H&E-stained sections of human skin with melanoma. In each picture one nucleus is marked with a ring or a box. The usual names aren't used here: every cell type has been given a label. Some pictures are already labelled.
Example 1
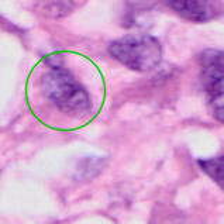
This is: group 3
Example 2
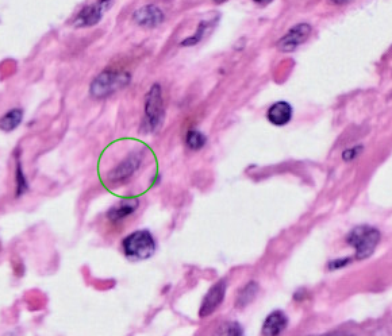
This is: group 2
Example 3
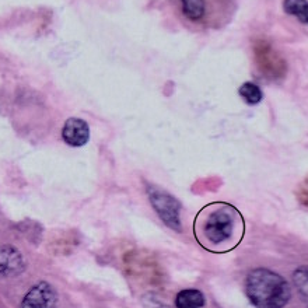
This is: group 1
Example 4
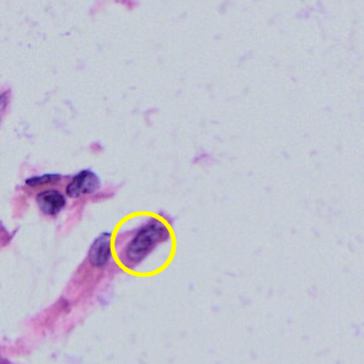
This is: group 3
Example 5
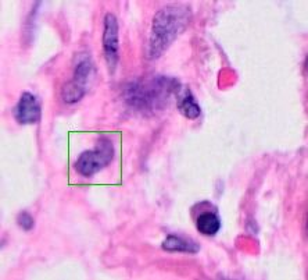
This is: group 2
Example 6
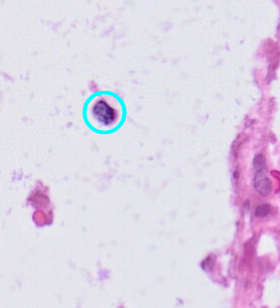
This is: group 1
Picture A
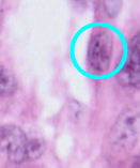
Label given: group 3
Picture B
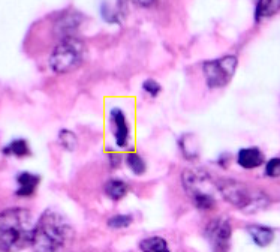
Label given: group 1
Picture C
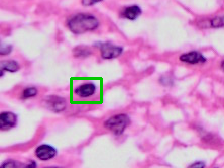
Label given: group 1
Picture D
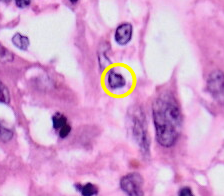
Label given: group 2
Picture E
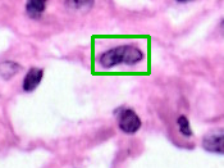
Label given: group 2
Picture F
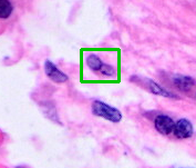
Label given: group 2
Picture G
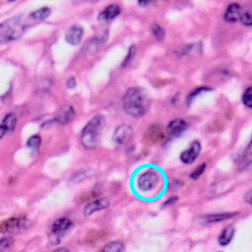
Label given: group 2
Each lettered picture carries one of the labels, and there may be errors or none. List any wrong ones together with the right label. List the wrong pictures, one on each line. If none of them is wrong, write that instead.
D: change group 2 to group 1
G: change group 2 to group 1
